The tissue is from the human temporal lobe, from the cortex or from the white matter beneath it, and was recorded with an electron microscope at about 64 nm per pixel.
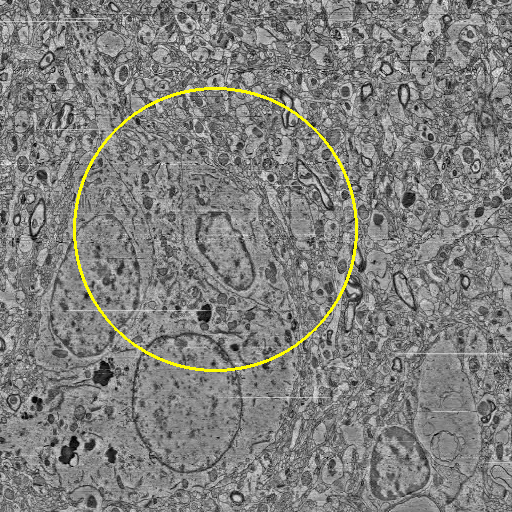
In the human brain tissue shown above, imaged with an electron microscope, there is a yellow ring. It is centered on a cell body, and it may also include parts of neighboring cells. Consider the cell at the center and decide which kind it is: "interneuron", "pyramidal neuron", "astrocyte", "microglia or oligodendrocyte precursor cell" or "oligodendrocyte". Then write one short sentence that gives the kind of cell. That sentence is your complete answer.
This centered cell body is that of a microglial cell or oligodendrocyte precursor cell.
